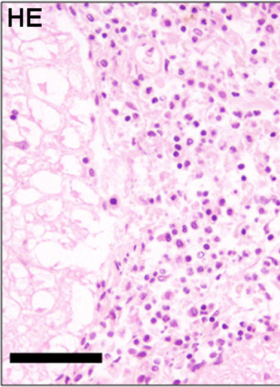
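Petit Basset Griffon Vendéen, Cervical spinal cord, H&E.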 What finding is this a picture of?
lymphohistiocytic leptomeningitis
